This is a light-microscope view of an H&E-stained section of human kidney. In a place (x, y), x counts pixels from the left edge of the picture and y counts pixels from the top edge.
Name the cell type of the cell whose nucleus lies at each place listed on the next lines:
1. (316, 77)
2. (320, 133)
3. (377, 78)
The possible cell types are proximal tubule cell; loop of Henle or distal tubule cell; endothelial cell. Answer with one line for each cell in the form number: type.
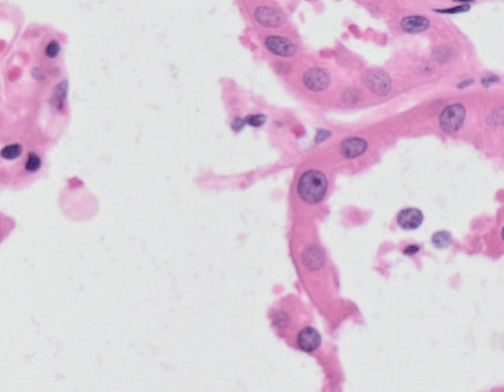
1: proximal tubule cell
2: endothelial cell
3: proximal tubule cell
